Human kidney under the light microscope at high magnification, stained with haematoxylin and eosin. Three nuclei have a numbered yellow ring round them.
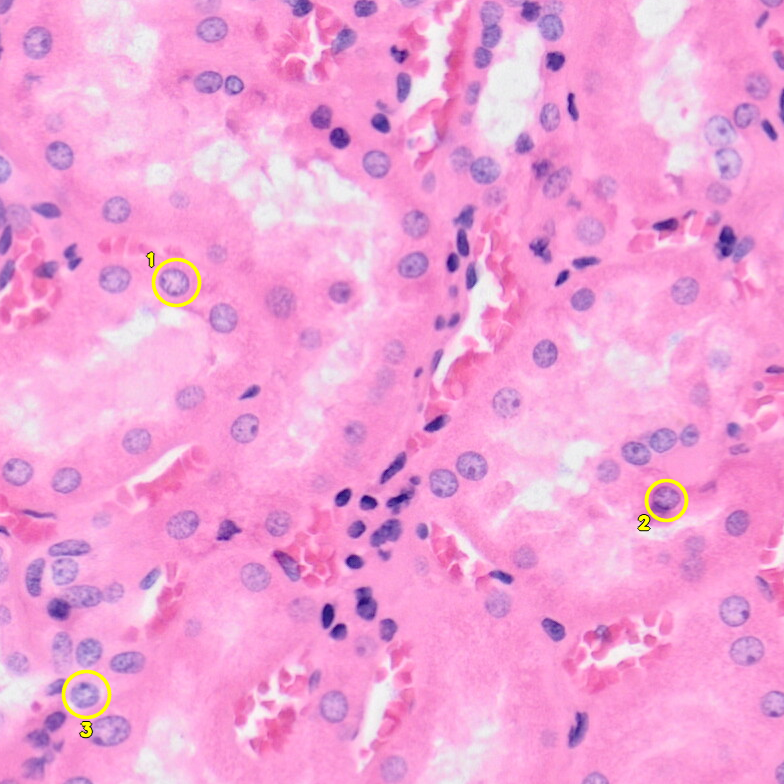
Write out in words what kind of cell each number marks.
Cell 1 is a proximal tubule cell, cell 2 is a proximal tubule cell and cell 3 is a collecting duct cell.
